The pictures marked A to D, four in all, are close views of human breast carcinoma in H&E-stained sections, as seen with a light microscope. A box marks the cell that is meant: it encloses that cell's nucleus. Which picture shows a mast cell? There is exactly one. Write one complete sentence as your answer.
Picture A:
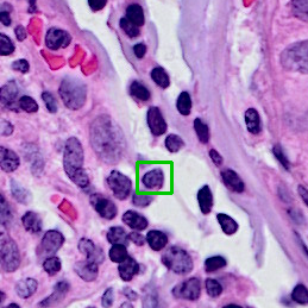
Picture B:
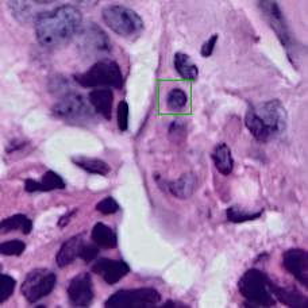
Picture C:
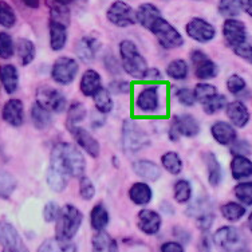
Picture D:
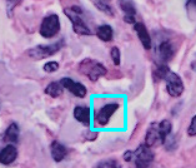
It is picture B that shows the mast cell.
